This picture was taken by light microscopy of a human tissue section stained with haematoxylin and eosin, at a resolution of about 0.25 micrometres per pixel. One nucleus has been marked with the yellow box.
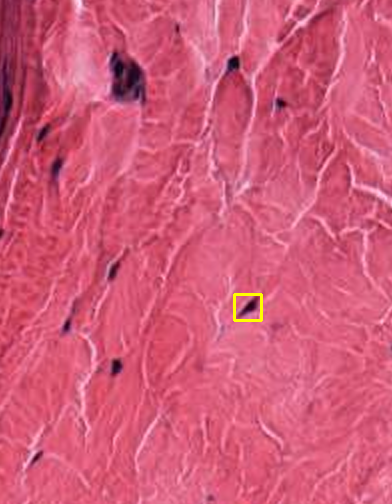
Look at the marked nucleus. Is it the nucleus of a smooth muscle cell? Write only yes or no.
no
